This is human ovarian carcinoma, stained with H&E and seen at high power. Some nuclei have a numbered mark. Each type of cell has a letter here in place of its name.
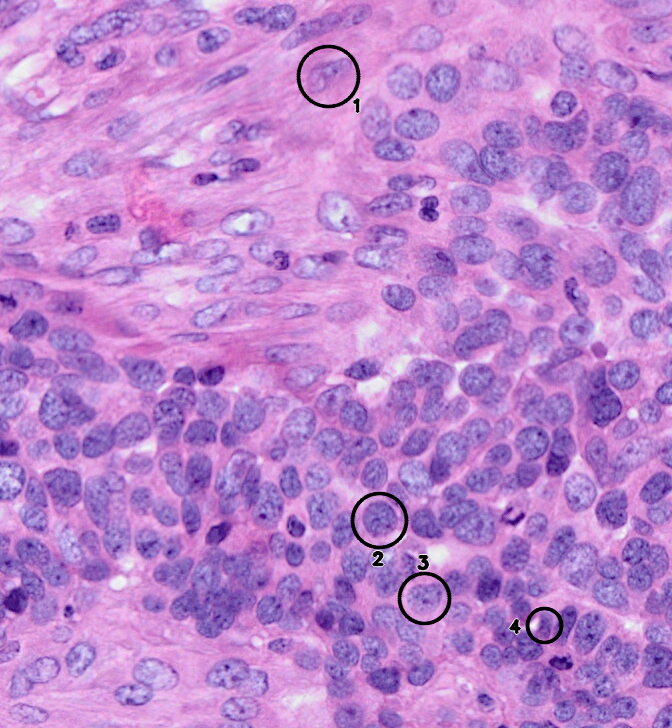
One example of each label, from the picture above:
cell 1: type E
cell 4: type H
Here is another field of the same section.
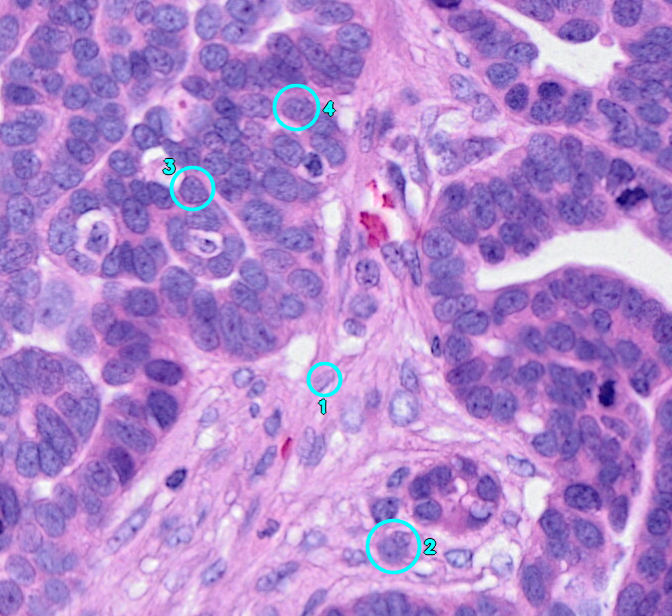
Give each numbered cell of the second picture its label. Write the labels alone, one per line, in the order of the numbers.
type E
type H
type H
type H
